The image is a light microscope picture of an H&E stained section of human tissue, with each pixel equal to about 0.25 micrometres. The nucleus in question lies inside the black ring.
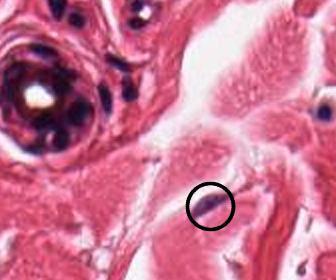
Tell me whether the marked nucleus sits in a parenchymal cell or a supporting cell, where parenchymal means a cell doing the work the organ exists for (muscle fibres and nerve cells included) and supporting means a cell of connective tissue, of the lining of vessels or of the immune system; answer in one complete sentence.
A supporting cell is the owner of the marked nucleus.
